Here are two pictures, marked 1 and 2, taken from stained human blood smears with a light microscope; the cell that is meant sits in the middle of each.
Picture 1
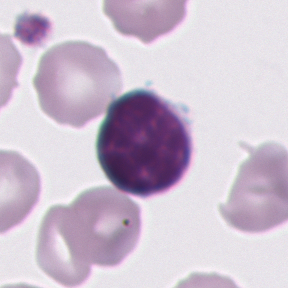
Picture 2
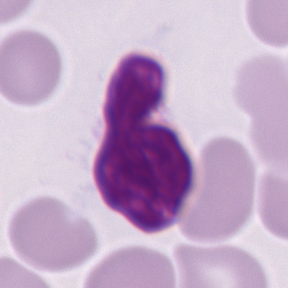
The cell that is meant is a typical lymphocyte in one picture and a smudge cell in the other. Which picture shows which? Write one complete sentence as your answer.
The cell in picture 1 is a typical lymphocyte, and the one in picture 2 is a smudge cell.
